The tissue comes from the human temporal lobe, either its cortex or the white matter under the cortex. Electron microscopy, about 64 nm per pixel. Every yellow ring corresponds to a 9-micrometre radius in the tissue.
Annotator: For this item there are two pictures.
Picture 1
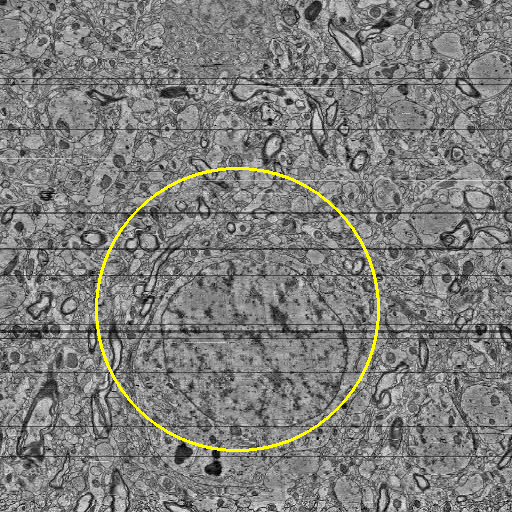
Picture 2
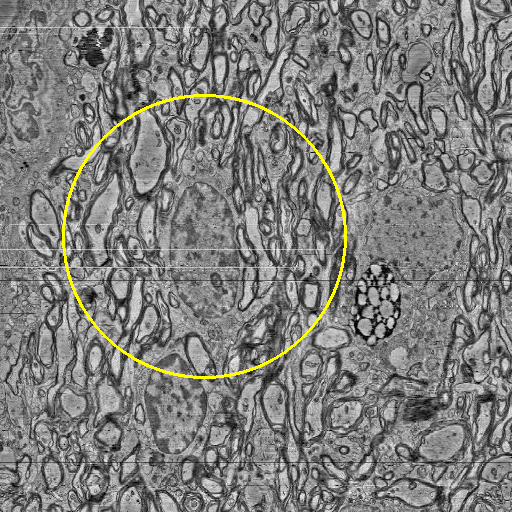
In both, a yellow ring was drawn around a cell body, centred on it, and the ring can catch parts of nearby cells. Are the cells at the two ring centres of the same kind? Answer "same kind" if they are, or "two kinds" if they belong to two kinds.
two kinds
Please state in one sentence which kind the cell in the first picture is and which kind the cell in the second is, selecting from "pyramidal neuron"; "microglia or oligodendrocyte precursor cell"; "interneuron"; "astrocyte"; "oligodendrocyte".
The first ringed cell is a pyramidal neuron, the second ringed cell an oligodendrocyte.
